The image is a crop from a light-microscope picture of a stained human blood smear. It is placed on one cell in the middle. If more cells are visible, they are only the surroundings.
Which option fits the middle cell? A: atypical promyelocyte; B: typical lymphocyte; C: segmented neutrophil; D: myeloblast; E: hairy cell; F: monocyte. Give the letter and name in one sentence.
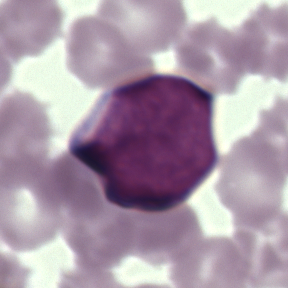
Option D holds, for the cell in the middle is a myeloblast.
